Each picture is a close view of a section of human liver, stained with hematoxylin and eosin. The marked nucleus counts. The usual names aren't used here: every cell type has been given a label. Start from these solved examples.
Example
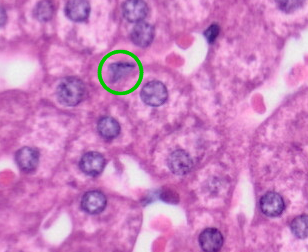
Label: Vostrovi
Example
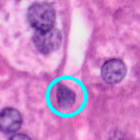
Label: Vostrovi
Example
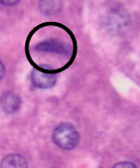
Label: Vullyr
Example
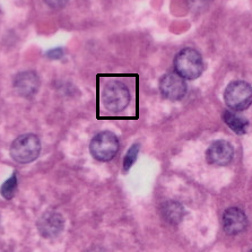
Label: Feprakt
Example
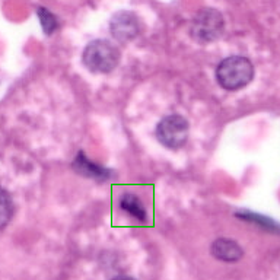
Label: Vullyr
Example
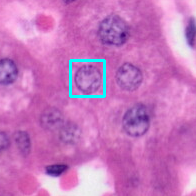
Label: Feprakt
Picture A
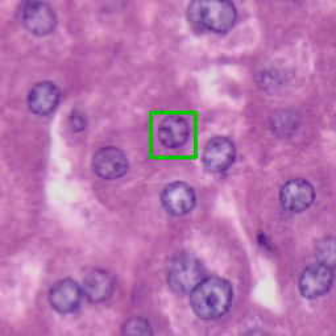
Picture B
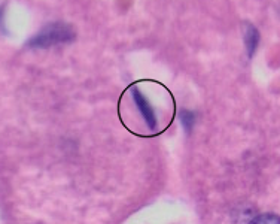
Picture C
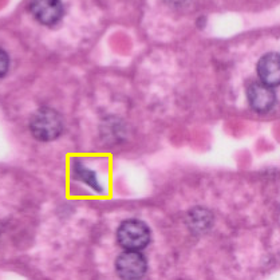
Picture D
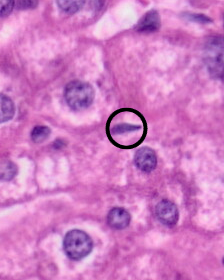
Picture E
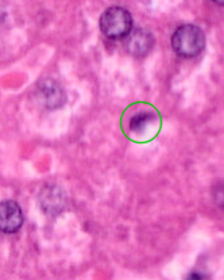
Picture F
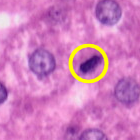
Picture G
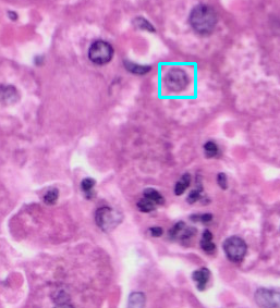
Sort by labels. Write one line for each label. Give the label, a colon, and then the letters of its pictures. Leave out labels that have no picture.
Vostrovi: B, C, D, E
Vullyr: F
Feprakt: A, G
